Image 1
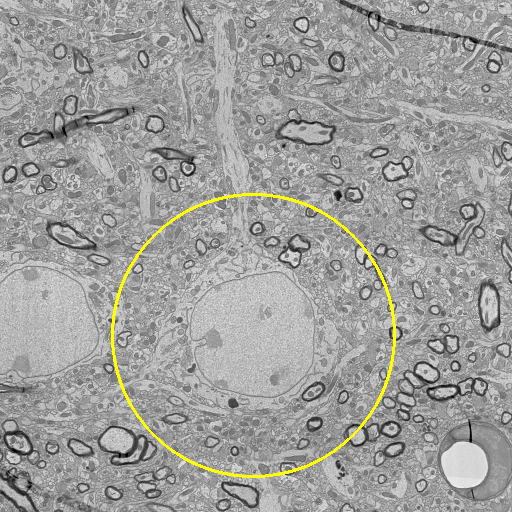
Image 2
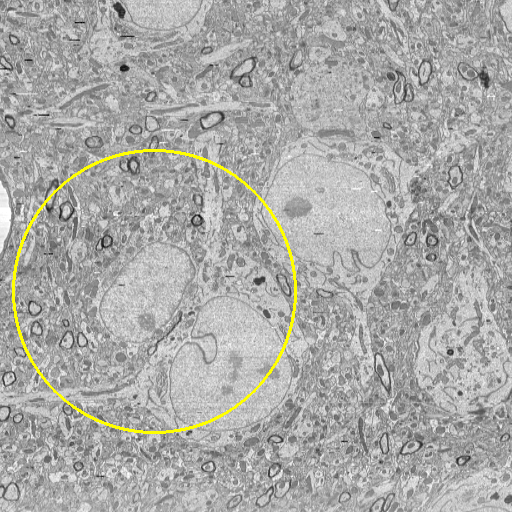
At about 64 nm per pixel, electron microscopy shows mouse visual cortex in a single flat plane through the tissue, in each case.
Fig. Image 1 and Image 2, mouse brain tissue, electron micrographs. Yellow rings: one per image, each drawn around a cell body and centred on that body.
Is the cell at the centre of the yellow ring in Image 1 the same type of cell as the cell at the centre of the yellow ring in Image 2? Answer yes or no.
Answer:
no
